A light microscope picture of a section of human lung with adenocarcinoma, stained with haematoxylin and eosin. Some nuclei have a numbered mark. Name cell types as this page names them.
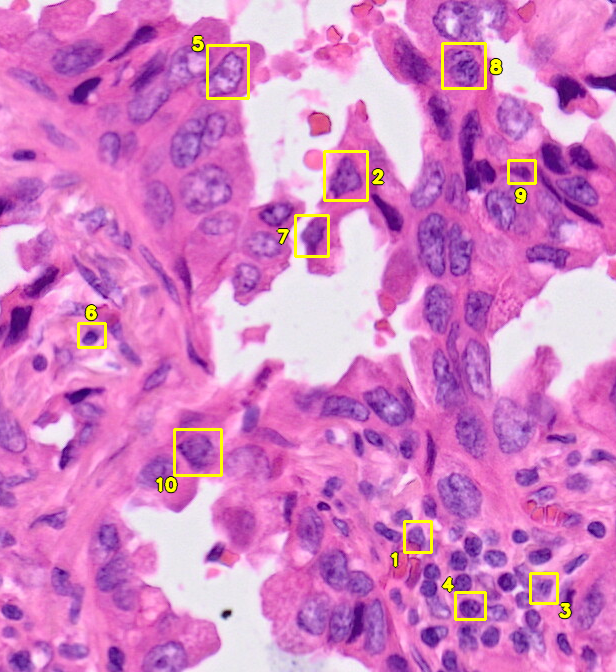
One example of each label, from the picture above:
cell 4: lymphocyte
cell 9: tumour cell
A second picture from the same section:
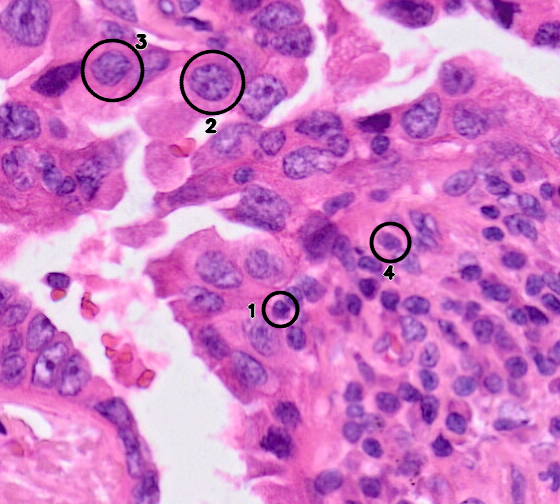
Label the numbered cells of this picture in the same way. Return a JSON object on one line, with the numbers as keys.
{"1": "lymphocyte", "2": "tumour cell", "3": "tumour cell", "4": "lymphocyte"}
